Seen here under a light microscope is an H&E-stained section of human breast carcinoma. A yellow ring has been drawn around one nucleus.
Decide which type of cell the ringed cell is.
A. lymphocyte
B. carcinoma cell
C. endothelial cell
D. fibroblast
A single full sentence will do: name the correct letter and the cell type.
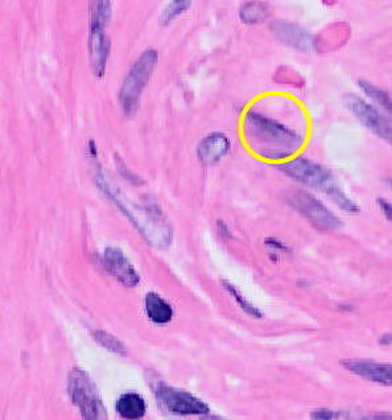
Option C gives the correct identity of the ringed cell, which is an endothelial cell.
